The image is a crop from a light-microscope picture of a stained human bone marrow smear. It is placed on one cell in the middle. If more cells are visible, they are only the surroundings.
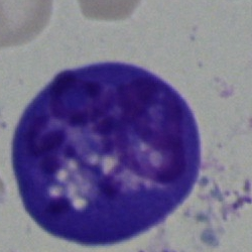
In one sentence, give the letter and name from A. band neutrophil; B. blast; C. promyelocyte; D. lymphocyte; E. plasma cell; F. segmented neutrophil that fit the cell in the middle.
The cell in the center of this crop is a blast, so option B is the one to pick.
